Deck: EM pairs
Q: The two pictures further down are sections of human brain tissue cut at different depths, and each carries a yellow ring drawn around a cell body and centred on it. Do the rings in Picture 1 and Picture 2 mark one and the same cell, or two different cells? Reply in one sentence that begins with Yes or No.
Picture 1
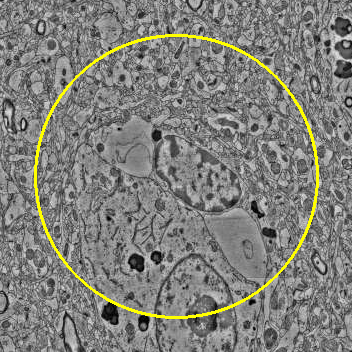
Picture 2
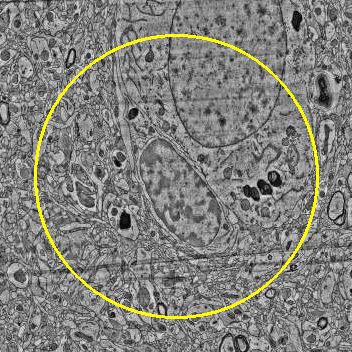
No, the rings surround different cells rather than one cell.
